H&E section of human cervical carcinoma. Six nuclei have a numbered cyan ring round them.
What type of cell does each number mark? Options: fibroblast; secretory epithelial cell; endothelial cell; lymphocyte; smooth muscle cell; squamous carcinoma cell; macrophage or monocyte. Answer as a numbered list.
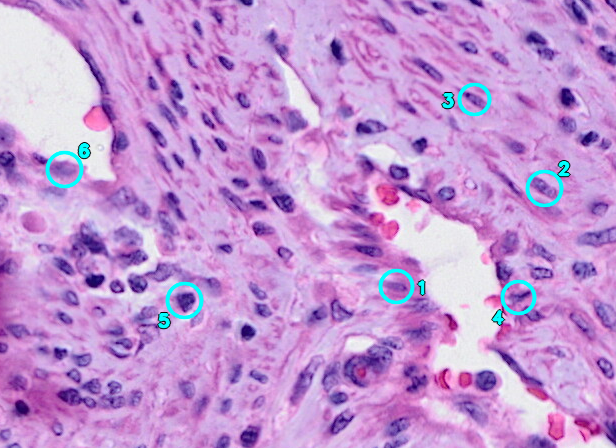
1. endothelial cell
2. smooth muscle cell
3. smooth muscle cell
4. endothelial cell
5. lymphocyte
6. endothelial cell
